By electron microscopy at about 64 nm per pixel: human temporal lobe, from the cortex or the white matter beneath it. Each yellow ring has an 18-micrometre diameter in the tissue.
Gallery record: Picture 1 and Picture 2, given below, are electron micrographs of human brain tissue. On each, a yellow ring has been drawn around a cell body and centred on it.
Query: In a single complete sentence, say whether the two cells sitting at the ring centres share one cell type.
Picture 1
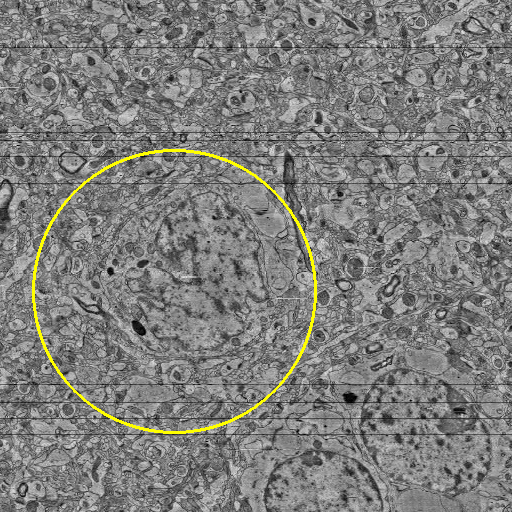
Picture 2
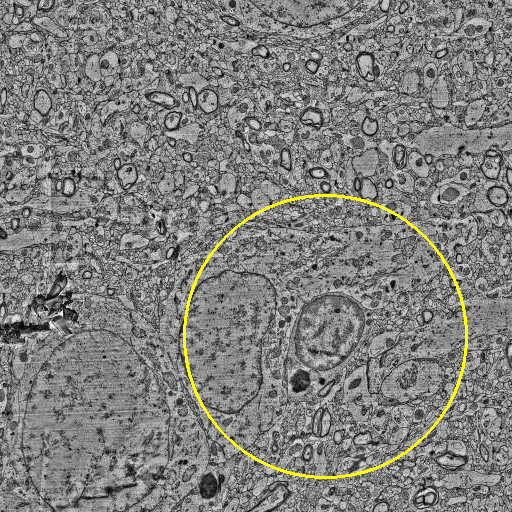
No, in the two pictures the cells at the rings' centres are of two separate types.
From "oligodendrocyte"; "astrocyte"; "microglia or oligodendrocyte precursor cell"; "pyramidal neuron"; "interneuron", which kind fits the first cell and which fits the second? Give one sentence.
The cell marked in the first picture is an interneuron, and the one marked in the second is an oligodendrocyte.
